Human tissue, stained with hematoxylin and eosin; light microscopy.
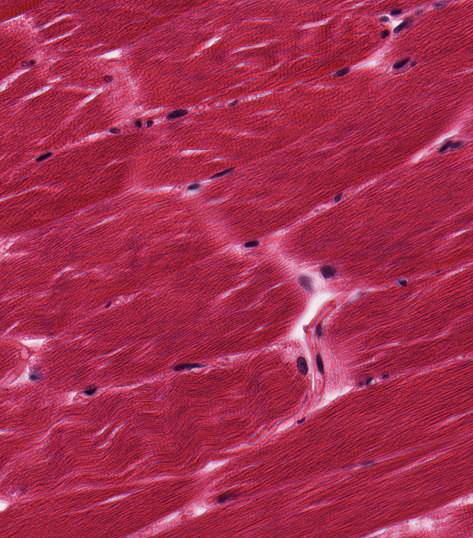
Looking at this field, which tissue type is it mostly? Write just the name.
skeletal muscle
